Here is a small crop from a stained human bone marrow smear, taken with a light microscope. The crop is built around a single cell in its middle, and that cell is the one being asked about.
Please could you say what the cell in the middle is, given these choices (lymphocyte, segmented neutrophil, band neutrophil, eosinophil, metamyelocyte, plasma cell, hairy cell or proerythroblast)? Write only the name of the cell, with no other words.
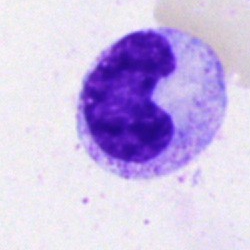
metamyelocyte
